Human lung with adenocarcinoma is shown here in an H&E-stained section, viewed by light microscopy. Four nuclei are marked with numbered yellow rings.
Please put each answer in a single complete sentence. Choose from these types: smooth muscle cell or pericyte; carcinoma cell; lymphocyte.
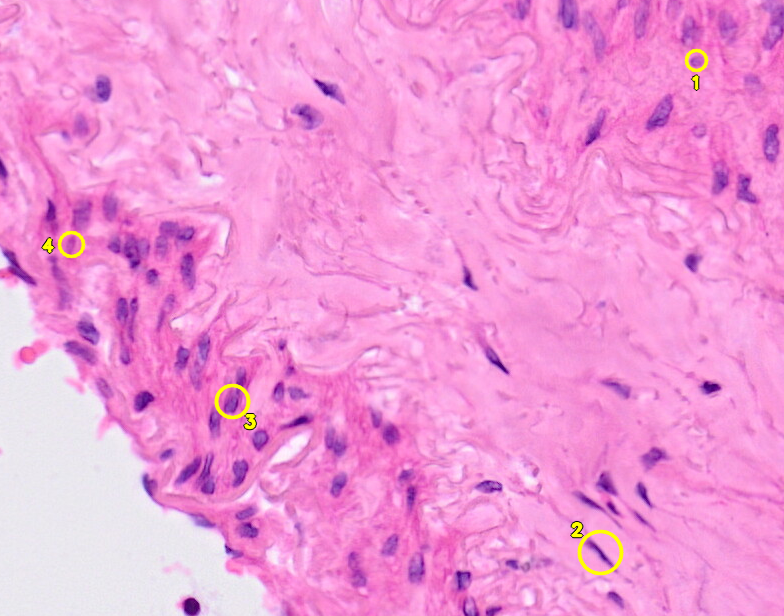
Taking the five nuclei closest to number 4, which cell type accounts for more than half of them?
The majority of the five nuclei closest to number 4 belong to smooth muscle cells or pericytes.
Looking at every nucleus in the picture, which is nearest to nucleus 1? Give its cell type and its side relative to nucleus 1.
The nearest nucleus is that of a smooth muscle cell or pericyte and lies above nucleus 1.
